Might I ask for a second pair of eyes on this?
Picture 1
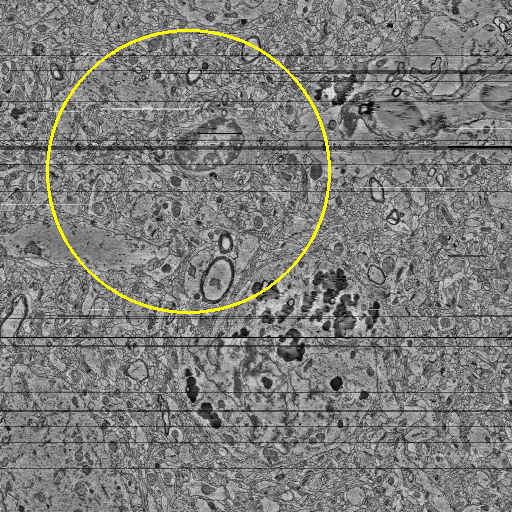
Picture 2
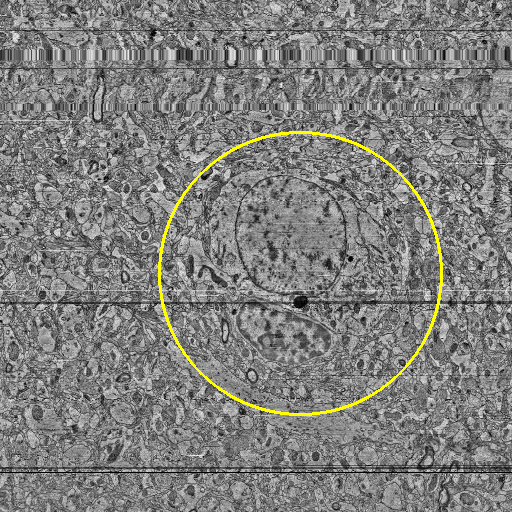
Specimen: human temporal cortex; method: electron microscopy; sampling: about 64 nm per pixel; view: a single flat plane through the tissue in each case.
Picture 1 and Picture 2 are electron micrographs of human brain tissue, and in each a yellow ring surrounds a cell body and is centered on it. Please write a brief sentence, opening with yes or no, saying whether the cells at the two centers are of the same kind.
No, the cells are of two kinds.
